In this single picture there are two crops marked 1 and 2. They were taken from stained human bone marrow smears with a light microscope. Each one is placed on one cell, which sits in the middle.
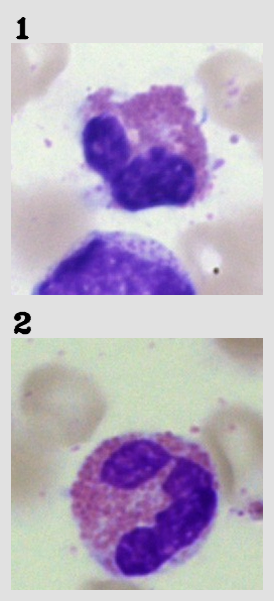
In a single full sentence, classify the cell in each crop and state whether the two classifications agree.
Yes, the two cells in the two crops are eosinophils.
